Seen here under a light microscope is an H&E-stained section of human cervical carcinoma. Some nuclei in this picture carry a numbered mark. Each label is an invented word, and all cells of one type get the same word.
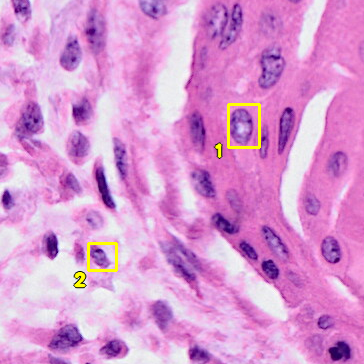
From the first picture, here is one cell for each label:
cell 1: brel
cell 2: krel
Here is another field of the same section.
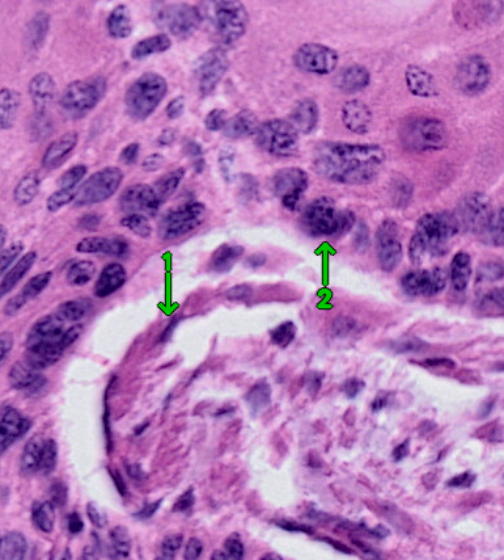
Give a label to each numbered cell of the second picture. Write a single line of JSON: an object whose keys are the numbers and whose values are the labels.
{"1": "krel", "2": "brel"}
